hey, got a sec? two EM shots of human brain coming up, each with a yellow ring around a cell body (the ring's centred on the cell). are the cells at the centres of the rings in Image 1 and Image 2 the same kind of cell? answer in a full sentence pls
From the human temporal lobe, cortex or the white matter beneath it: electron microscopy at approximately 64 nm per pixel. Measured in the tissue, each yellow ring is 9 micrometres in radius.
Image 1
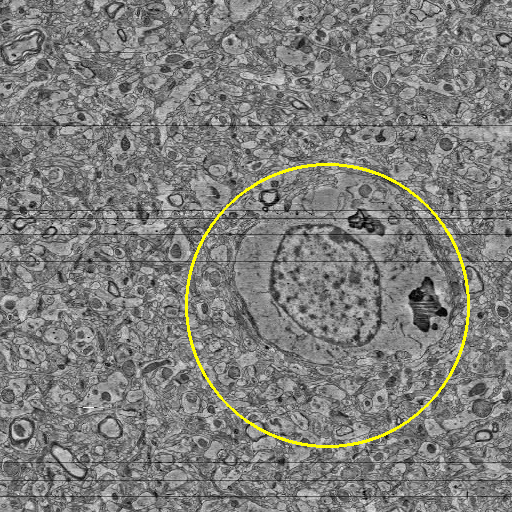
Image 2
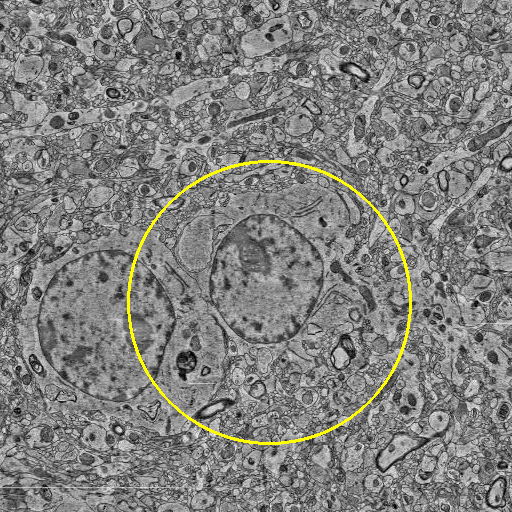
Yes, both are the same kind of cell.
